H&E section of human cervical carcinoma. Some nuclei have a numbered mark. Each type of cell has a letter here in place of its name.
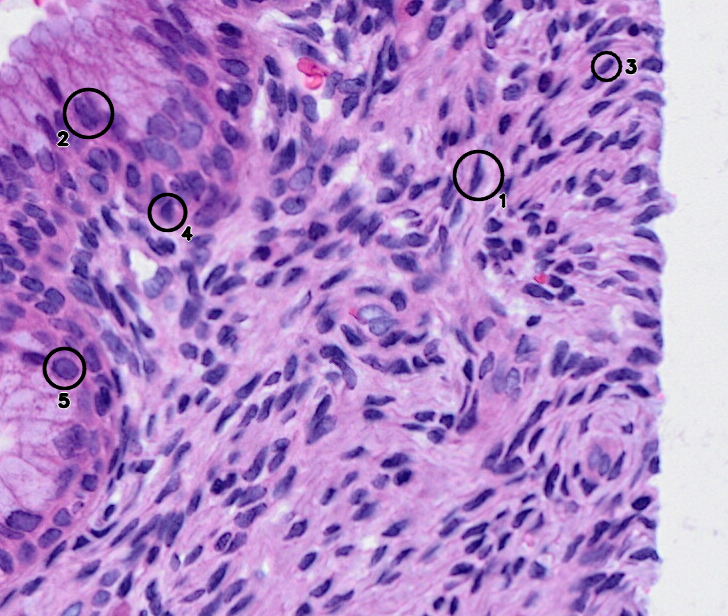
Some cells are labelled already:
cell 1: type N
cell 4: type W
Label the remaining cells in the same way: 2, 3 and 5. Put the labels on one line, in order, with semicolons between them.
type W; type N; type W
